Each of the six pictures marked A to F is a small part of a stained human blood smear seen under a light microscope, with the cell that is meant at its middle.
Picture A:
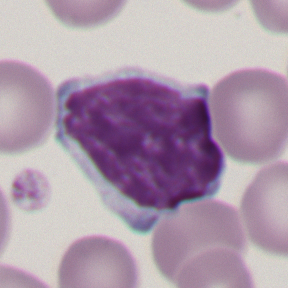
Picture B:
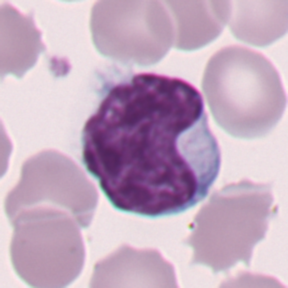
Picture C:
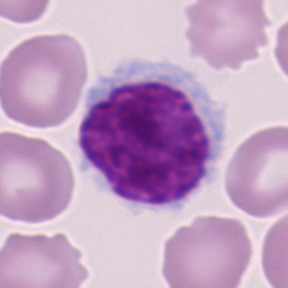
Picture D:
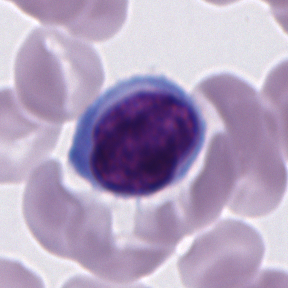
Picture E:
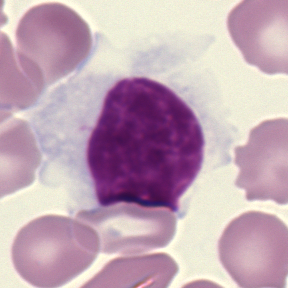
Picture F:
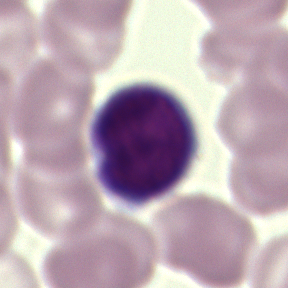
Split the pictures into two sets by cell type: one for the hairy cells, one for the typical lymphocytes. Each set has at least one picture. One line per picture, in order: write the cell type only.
typical lymphocyte
typical lymphocyte
hairy cell
typical lymphocyte
hairy cell
typical lymphocyte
